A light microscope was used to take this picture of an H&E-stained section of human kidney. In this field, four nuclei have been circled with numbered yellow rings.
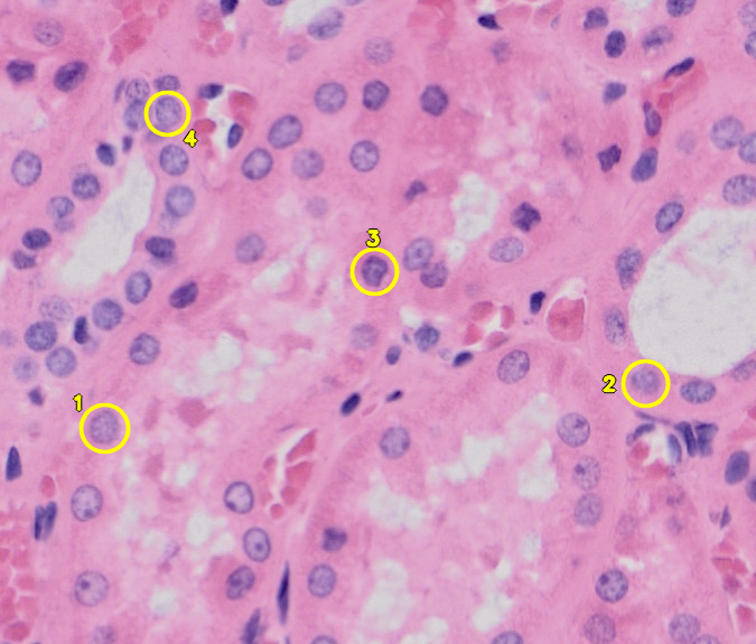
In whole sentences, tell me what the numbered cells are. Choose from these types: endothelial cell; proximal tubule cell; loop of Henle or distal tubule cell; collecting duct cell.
Cell 1 is a proximal tubule cell, cell 2 is a loop of Henle or distal tubule cell, cell 3 is a proximal tubule cell and cell 4 is a collecting duct cell.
